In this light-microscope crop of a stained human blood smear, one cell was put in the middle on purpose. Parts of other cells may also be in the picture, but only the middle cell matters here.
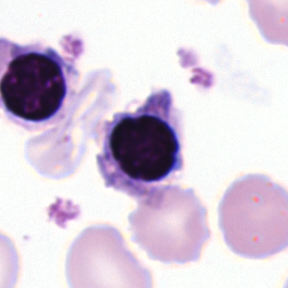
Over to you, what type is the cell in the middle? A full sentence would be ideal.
Whatever else lies nearby, the middle cell is an erythroblast.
